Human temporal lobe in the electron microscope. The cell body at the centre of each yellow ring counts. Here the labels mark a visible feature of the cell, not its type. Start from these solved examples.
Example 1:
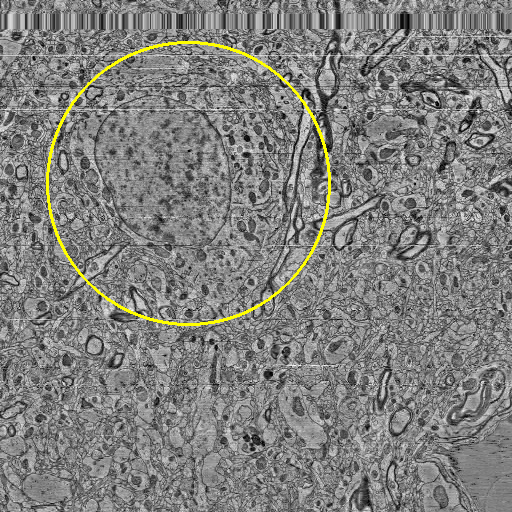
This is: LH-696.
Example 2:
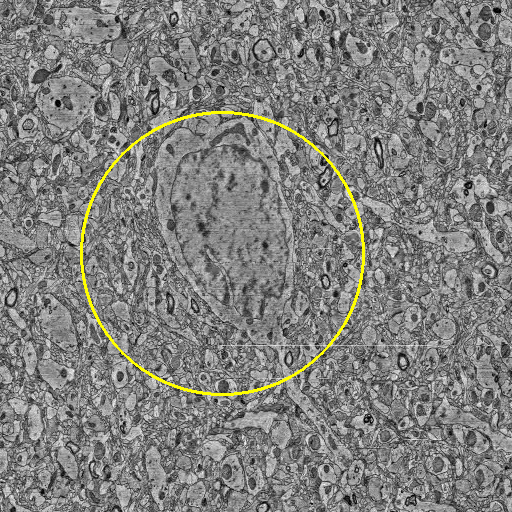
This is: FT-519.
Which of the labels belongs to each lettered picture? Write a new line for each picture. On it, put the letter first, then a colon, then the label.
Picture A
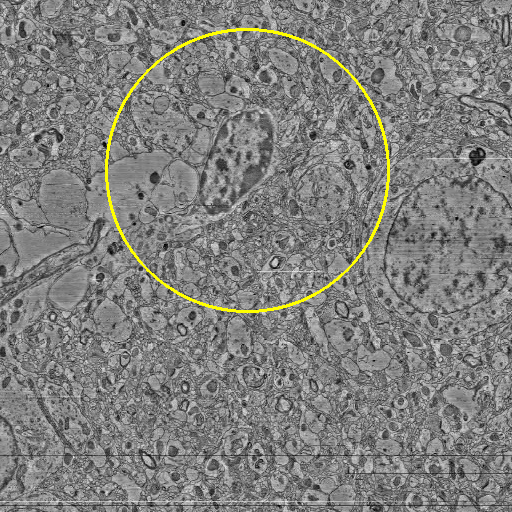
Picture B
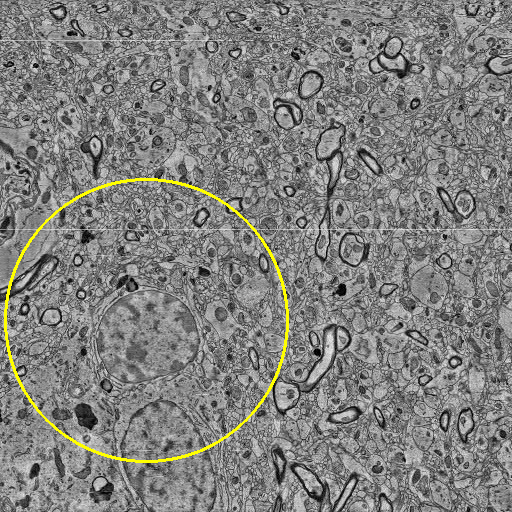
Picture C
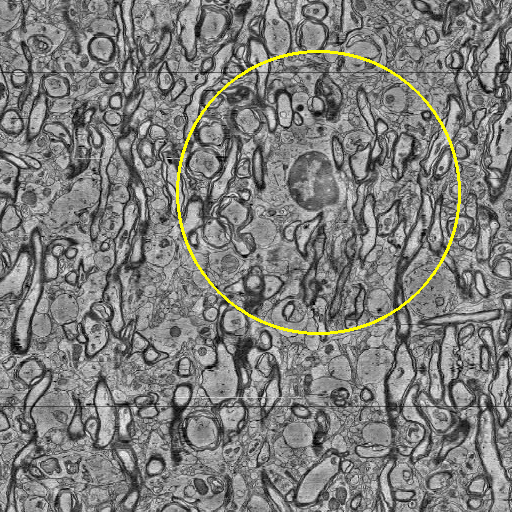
A: FT-519.
B: LH-696.
C: LH-696.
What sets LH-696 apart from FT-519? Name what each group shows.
LH-696, round or nearly round nuclei; FT-519, clearly elongated nuclei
